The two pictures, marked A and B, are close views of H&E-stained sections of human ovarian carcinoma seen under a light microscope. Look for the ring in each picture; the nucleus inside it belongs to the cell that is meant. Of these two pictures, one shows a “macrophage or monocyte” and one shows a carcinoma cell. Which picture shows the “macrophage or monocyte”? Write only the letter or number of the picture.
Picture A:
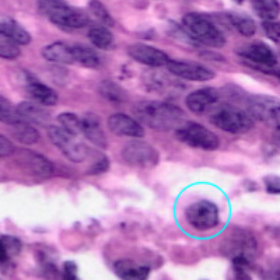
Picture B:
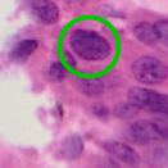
A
